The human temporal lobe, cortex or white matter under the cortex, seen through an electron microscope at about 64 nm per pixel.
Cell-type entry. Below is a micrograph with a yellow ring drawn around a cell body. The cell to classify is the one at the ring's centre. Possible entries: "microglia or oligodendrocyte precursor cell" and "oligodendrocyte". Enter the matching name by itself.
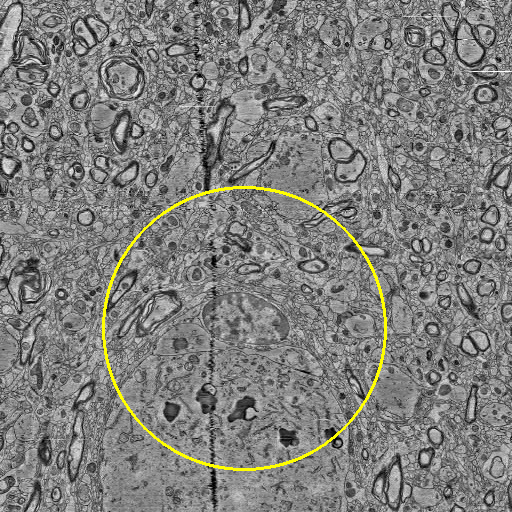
microglia or oligodendrocyte precursor cell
